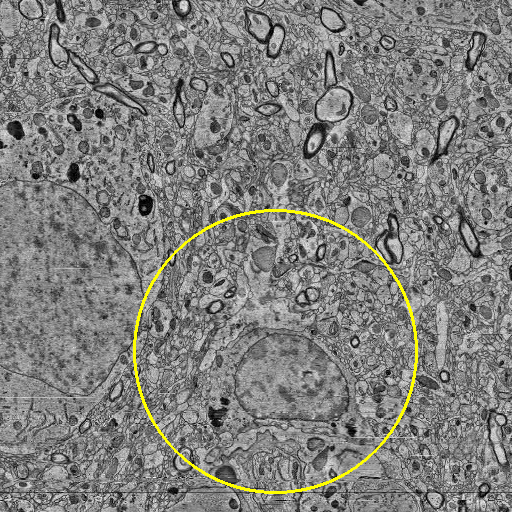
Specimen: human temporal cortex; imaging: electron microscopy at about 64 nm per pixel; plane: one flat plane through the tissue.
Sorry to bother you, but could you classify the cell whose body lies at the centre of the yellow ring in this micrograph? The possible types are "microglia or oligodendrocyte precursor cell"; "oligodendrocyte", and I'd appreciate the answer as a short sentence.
The ringed cell body is that of an oligodendrocyte.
